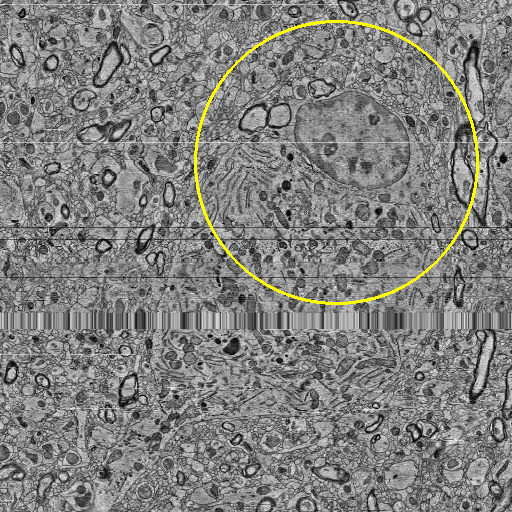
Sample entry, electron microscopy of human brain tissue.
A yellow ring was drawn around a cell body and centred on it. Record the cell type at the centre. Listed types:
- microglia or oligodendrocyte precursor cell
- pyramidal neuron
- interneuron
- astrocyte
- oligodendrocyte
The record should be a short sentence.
The cell at the ring's centre is an oligodendrocyte.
